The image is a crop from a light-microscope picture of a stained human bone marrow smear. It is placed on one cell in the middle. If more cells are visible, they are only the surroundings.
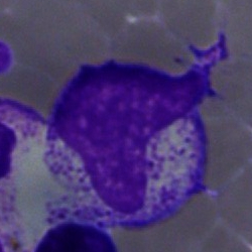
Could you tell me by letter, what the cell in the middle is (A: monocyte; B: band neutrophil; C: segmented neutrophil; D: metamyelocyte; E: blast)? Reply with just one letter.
D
